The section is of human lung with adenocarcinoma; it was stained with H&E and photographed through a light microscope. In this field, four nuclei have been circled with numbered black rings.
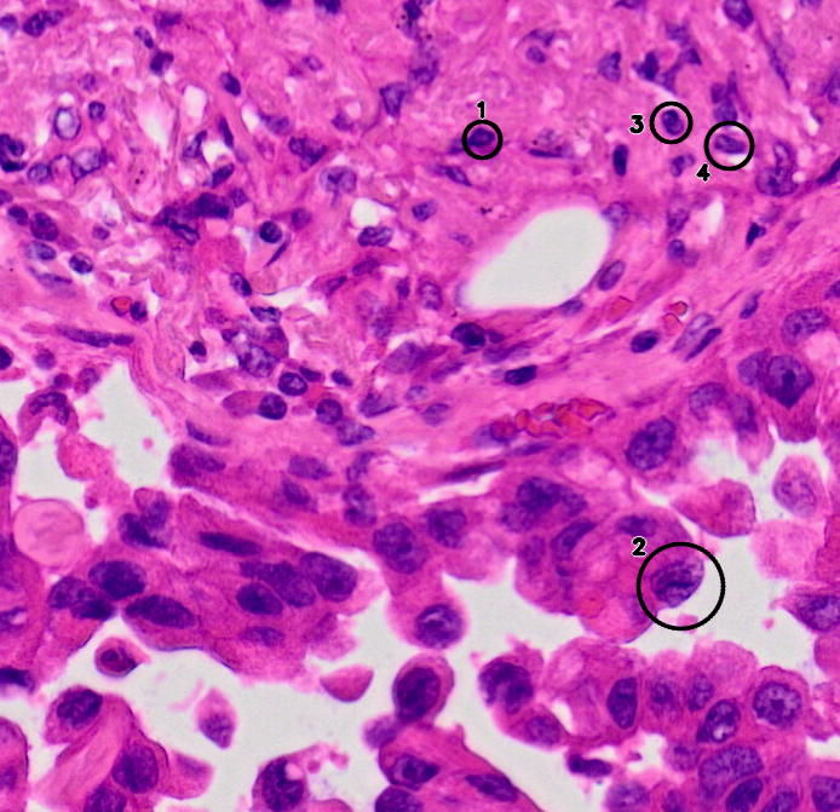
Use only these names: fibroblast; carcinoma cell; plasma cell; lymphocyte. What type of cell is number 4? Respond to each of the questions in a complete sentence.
The numbered cell 4 in this field is a lymphocyte.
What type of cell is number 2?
Cell 2, as marked in the section, is a carcinoma cell.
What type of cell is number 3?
The cell indicated by marker 3 is a lymphocyte in this section.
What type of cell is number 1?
Here, the cell given the number 1 is a plasma cell.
